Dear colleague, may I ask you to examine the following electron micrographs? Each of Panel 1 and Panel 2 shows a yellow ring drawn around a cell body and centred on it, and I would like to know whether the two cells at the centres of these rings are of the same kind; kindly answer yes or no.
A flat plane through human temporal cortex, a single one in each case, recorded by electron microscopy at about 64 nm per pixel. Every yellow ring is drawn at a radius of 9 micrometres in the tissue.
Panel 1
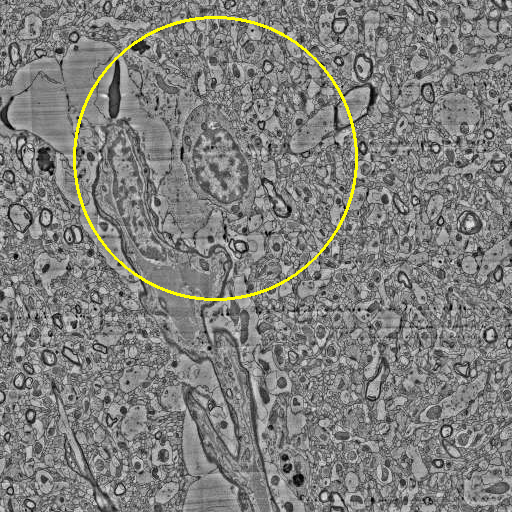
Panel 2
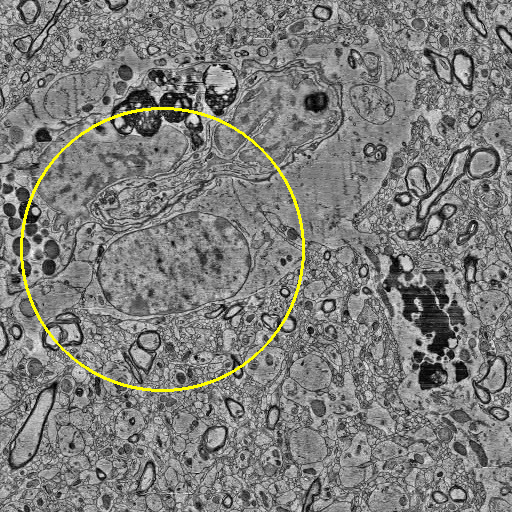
no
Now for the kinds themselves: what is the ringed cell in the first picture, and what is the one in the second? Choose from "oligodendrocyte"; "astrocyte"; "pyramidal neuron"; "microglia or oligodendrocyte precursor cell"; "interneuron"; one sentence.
Here the first cell is an oligodendrocyte and the second cell is a microglial cell or oligodendrocyte precursor cell.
